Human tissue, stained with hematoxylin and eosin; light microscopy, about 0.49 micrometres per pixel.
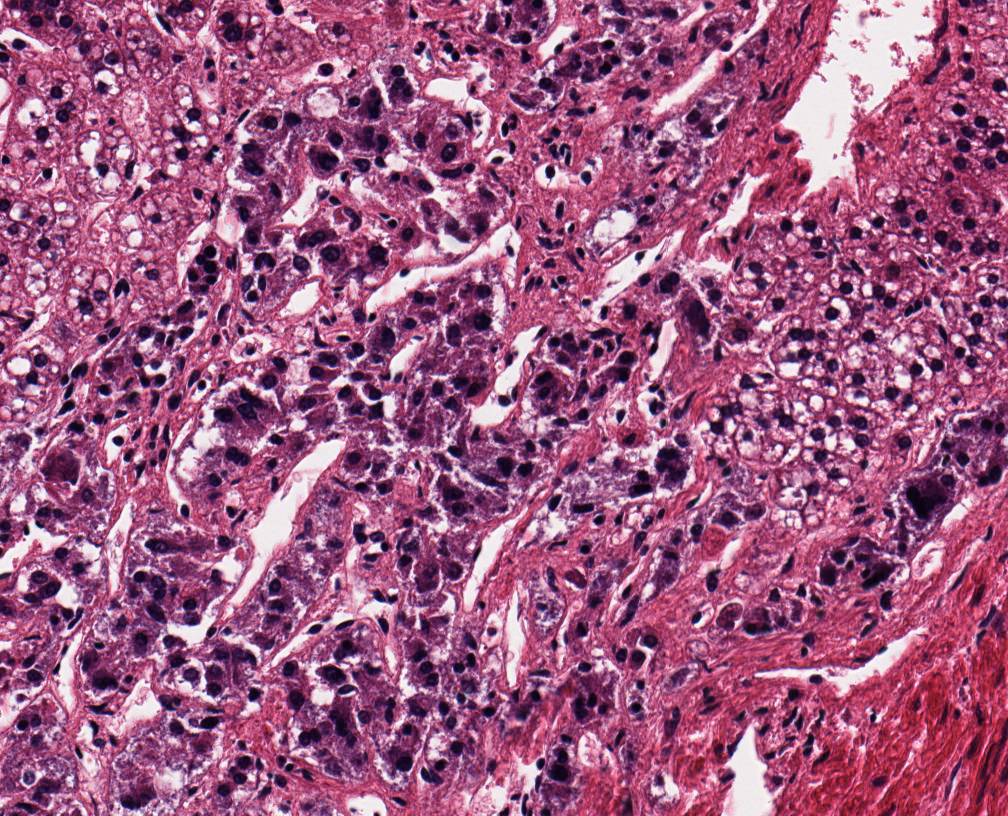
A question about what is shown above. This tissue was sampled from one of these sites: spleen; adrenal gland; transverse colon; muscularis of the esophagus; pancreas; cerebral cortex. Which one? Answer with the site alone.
adrenal gland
